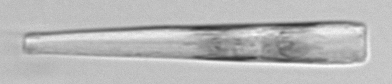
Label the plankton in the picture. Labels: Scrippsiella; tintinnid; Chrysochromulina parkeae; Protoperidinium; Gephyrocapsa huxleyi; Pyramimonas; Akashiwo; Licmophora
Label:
Licmophora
